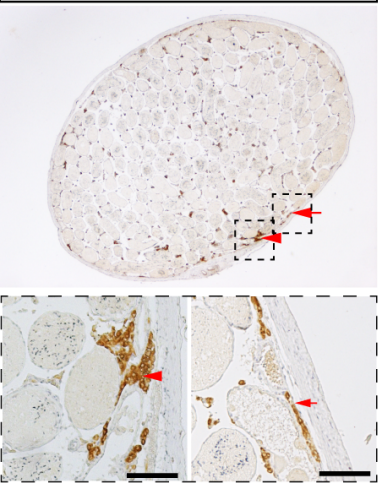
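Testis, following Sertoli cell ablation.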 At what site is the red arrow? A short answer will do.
Subcapsular region.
